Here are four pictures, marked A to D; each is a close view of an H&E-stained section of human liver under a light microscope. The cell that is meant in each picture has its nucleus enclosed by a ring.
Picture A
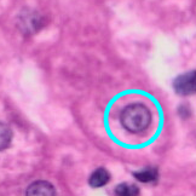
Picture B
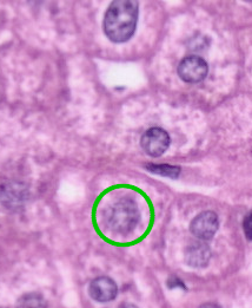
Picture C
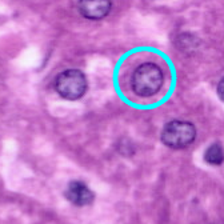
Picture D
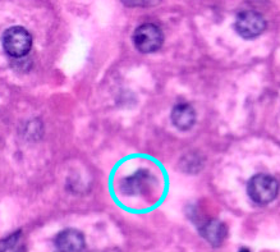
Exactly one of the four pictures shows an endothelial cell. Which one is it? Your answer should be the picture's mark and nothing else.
D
